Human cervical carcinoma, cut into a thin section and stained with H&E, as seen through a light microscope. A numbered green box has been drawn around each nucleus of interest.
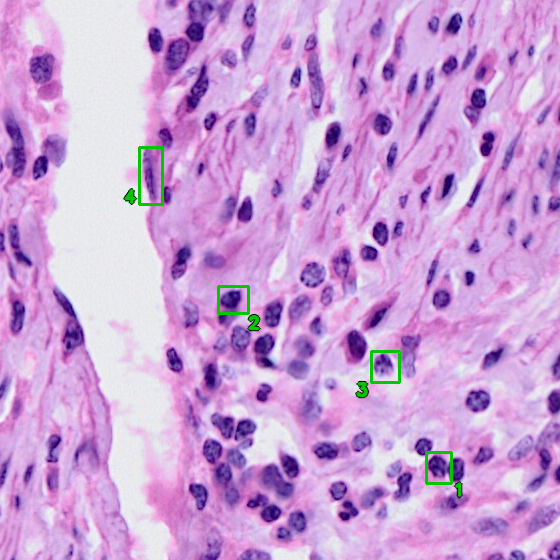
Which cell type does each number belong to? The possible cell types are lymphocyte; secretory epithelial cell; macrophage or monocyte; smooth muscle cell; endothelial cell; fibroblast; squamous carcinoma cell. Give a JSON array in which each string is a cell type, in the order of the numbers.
["lymphocyte", "lymphocyte", "lymphocyte", "endothelial cell"]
